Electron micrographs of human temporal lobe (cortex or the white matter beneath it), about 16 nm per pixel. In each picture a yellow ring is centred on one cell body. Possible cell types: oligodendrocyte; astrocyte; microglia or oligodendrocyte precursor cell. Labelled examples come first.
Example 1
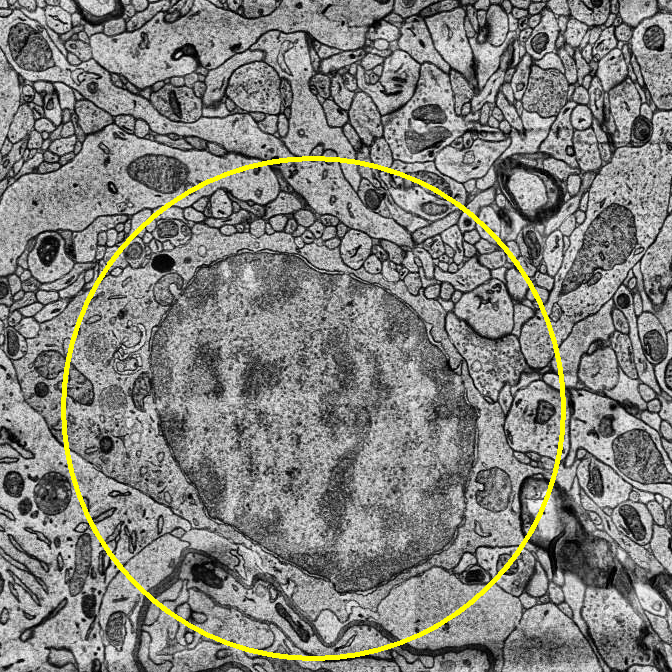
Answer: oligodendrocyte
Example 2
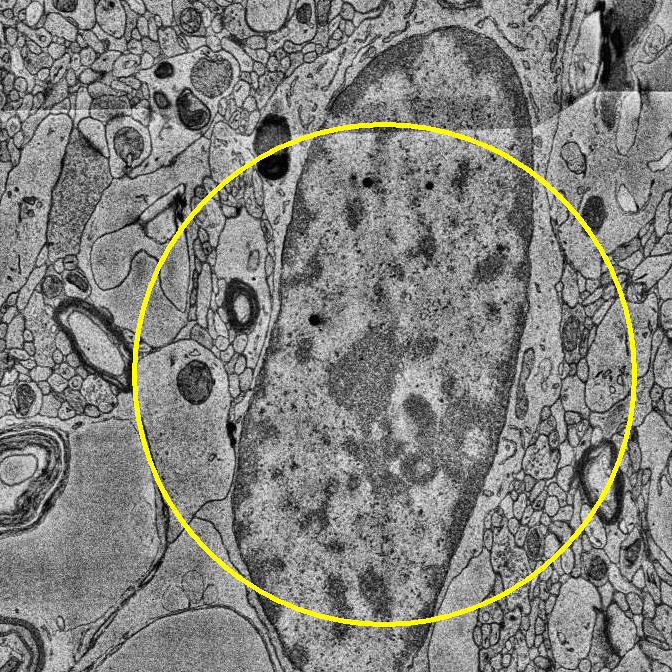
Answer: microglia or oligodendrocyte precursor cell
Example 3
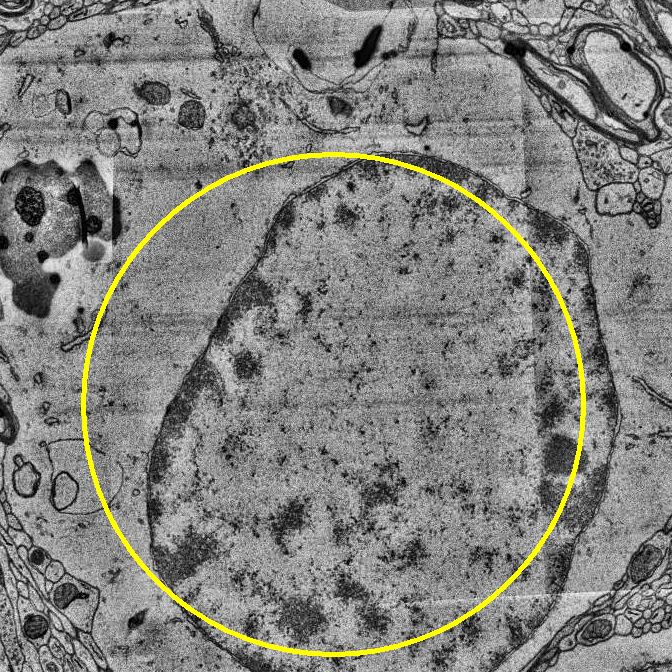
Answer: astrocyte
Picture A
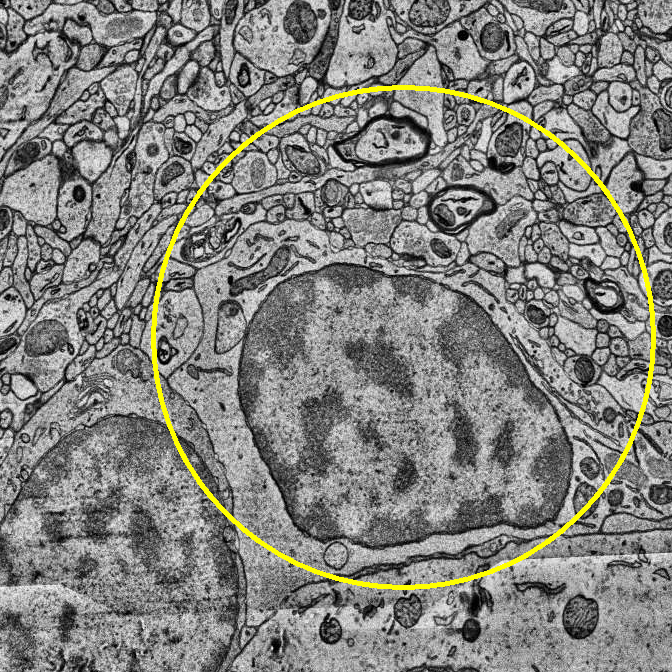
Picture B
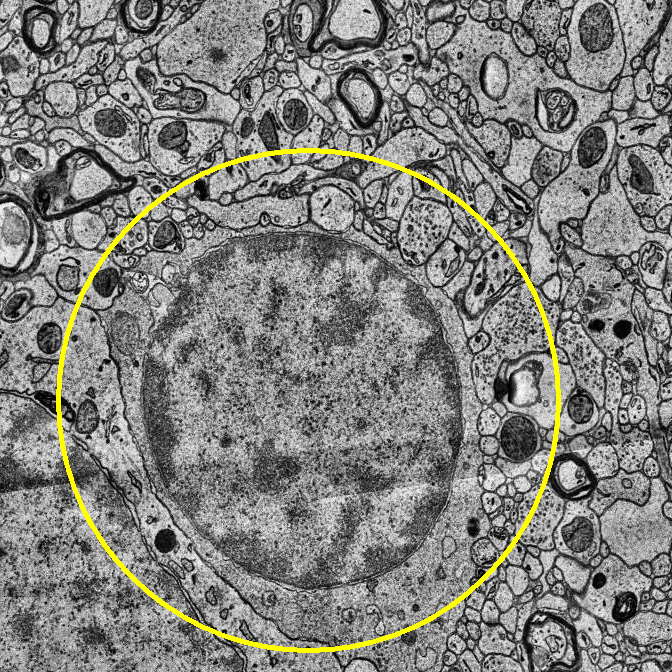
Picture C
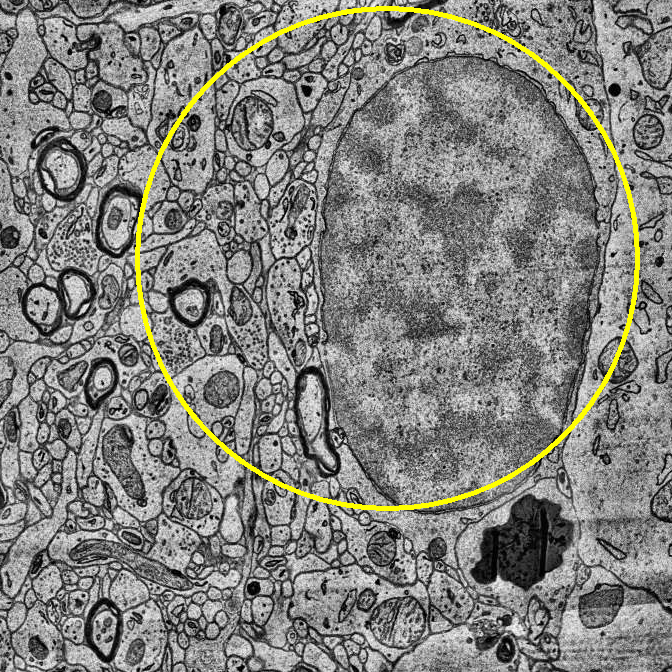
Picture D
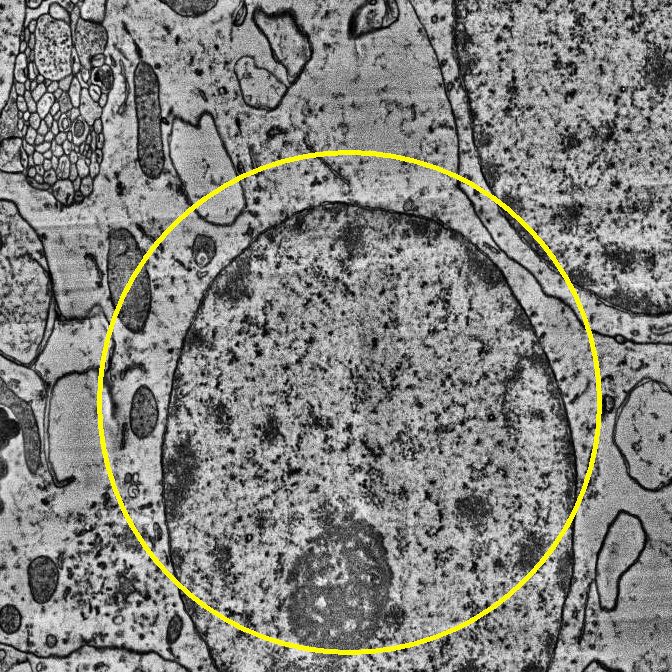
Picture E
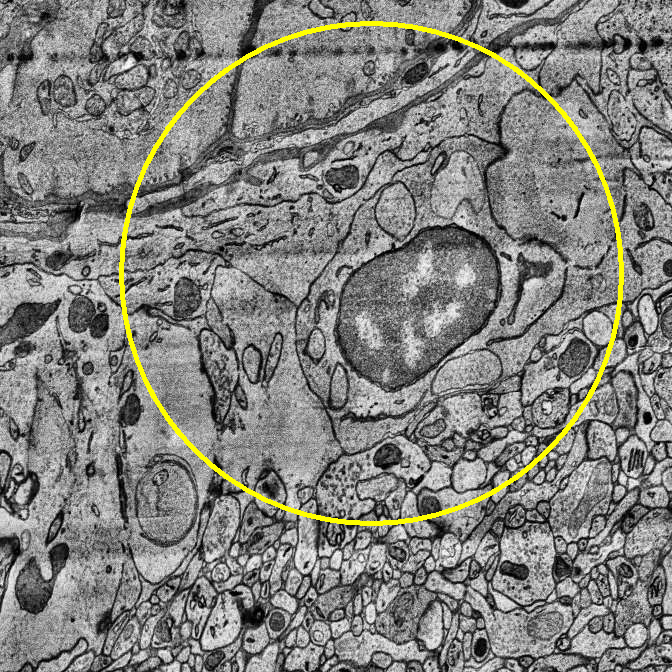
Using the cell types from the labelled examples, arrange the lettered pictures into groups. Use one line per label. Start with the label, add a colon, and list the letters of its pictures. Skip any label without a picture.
oligodendrocyte: B, C
astrocyte: D
microglia or oligodendrocyte precursor cell: A, E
